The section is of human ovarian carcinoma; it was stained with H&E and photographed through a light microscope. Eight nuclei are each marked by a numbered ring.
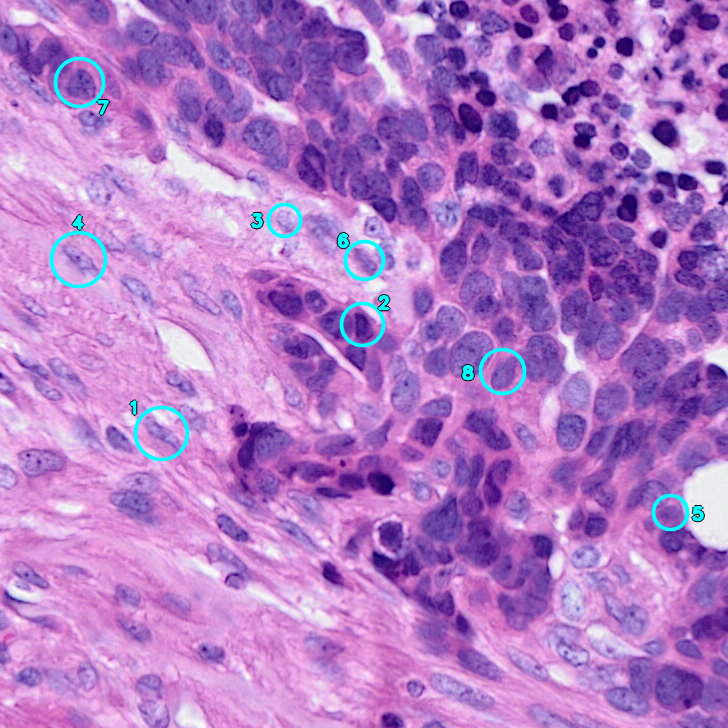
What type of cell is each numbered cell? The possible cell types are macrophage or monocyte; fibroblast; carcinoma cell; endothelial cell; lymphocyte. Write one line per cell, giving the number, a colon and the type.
1: fibroblast
2: carcinoma cell
3: fibroblast
4: fibroblast
5: carcinoma cell
6: fibroblast
7: carcinoma cell
8: carcinoma cell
